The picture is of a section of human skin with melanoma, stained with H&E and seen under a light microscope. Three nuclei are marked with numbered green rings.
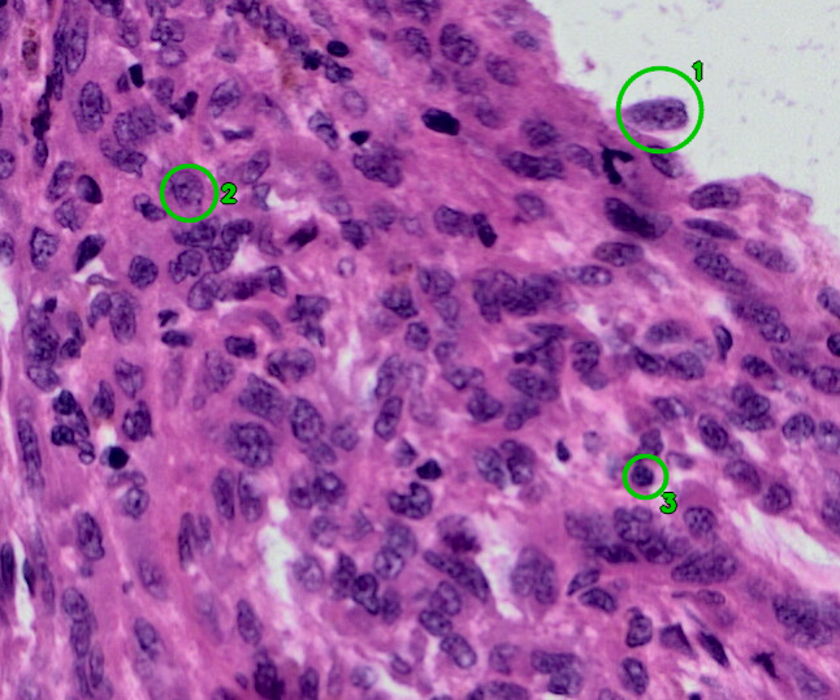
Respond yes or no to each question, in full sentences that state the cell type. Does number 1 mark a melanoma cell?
Yes, the cell distinguished by number 1 is a melanoma cell.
